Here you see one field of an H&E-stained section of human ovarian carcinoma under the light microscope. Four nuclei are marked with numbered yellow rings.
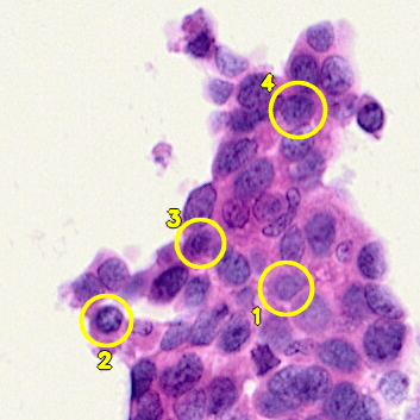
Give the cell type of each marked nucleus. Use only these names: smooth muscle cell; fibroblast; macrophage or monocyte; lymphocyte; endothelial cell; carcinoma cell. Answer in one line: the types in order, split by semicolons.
carcinoma cell; macrophage or monocyte; carcinoma cell; carcinoma cell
